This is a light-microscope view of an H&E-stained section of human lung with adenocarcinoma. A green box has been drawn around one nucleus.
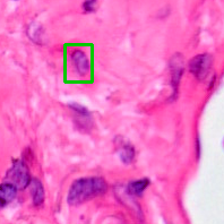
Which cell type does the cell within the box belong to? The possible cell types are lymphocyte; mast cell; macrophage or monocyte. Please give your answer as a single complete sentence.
The expected answer is simply that the cell within the box is a mast cell.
